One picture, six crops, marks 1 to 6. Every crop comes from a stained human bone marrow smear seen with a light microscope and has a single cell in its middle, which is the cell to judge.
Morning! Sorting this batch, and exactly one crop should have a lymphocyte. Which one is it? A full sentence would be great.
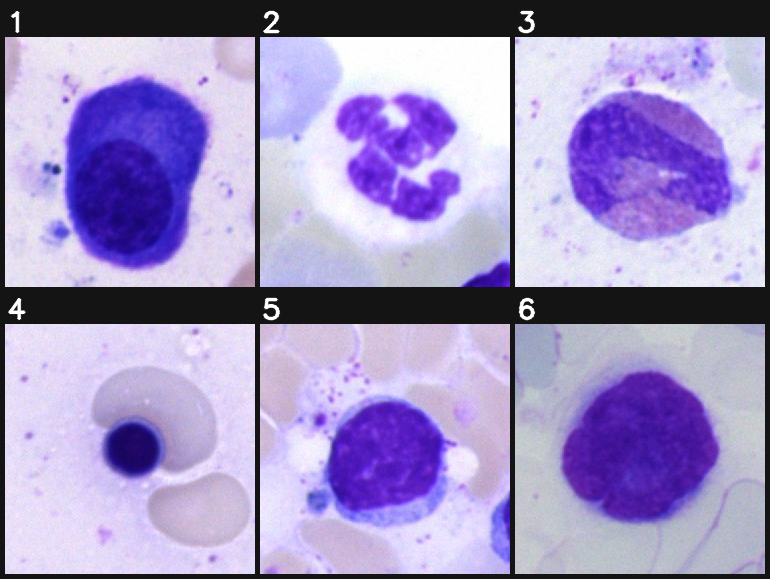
When the crops are compared, crop 5 is the one showing a lymphocyte.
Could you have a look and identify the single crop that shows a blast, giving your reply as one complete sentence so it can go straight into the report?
That would be crop 6; it shows a blast.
